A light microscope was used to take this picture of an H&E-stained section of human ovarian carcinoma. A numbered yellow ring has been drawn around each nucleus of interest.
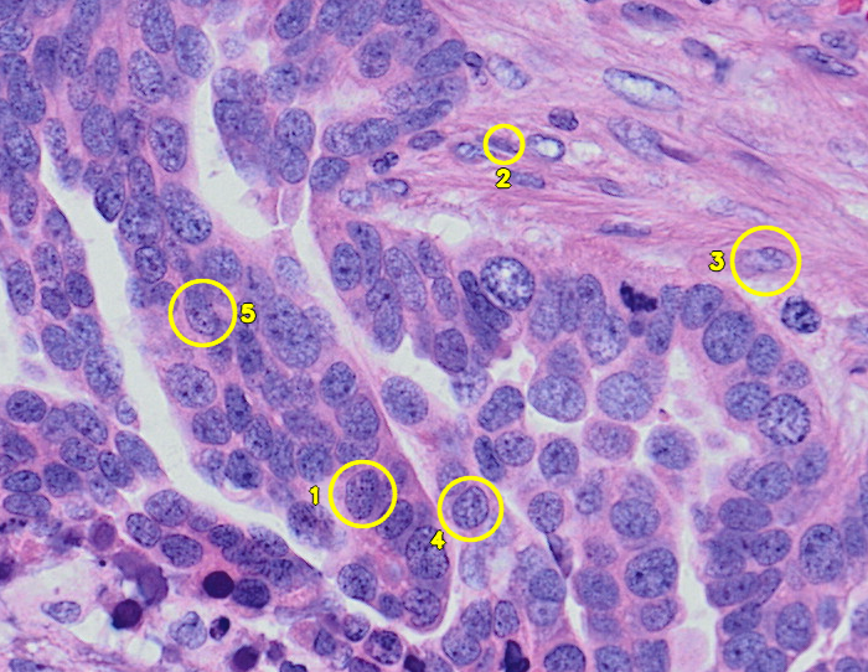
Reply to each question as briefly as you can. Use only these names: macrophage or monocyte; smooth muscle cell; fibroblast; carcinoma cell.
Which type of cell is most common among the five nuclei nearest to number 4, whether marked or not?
carcinoma cell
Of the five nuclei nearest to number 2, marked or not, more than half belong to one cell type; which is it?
fibroblast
